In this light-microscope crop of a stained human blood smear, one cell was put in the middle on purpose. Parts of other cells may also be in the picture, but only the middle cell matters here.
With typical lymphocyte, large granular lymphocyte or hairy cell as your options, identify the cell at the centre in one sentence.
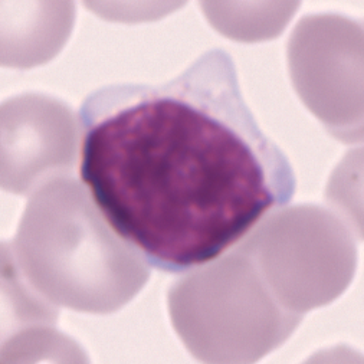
In the middle of this smear crop, the cell is a large granular lymphocyte.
